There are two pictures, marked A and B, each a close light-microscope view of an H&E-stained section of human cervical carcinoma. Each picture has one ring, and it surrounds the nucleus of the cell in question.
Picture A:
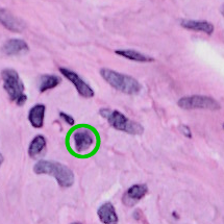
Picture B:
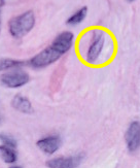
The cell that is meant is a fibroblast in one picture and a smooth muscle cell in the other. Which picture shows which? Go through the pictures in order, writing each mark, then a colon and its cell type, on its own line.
A: fibroblast
B: smooth muscle cell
